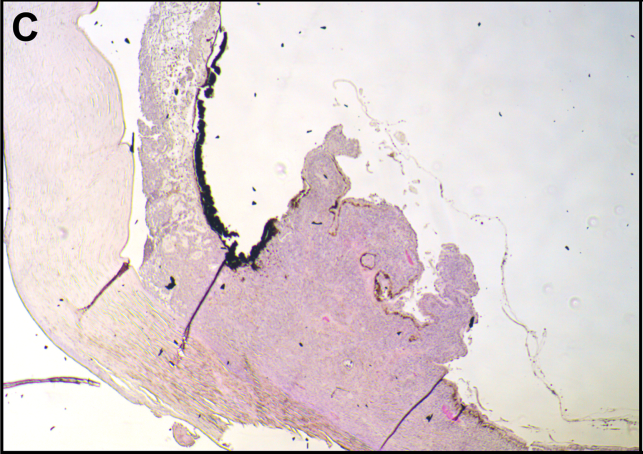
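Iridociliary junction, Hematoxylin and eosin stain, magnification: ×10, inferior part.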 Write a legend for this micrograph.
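Section of the ciliary body in which a large, solid, purple cellular tumor mass expands inward from a band of pink fibrous tissue. A thick black pigmented layer runs along one side of the mass, and its other border is lobulated, with a few small pigmented folds at its surface.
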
